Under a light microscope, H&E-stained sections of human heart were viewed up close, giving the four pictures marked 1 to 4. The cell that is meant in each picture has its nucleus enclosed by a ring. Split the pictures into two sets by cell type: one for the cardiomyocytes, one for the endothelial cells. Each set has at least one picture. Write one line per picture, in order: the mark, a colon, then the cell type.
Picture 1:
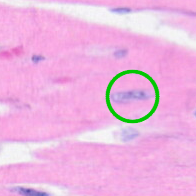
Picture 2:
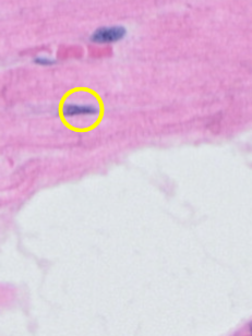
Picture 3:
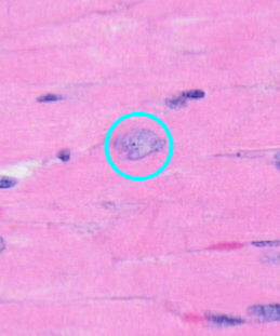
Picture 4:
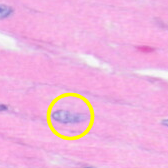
1: cardiomyocyte
2: endothelial cell
3: cardiomyocyte
4: cardiomyocyte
